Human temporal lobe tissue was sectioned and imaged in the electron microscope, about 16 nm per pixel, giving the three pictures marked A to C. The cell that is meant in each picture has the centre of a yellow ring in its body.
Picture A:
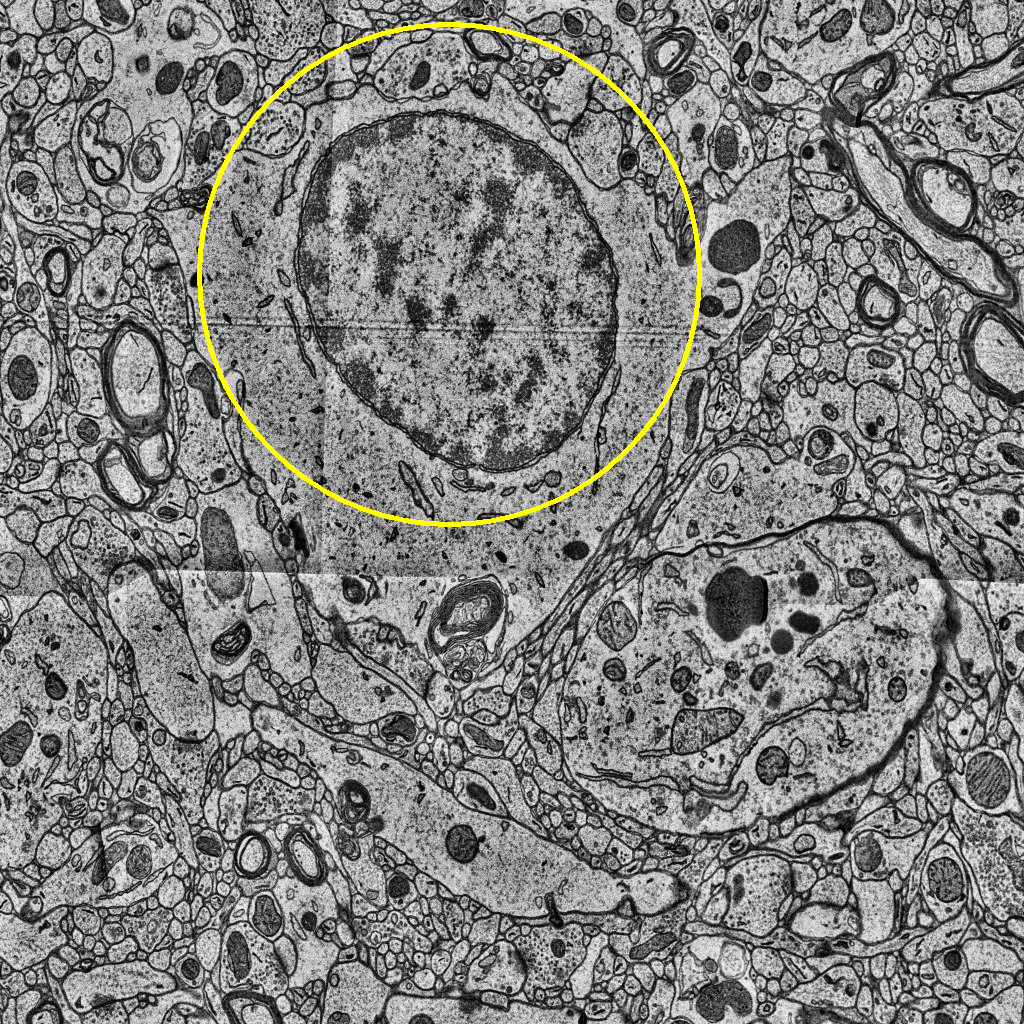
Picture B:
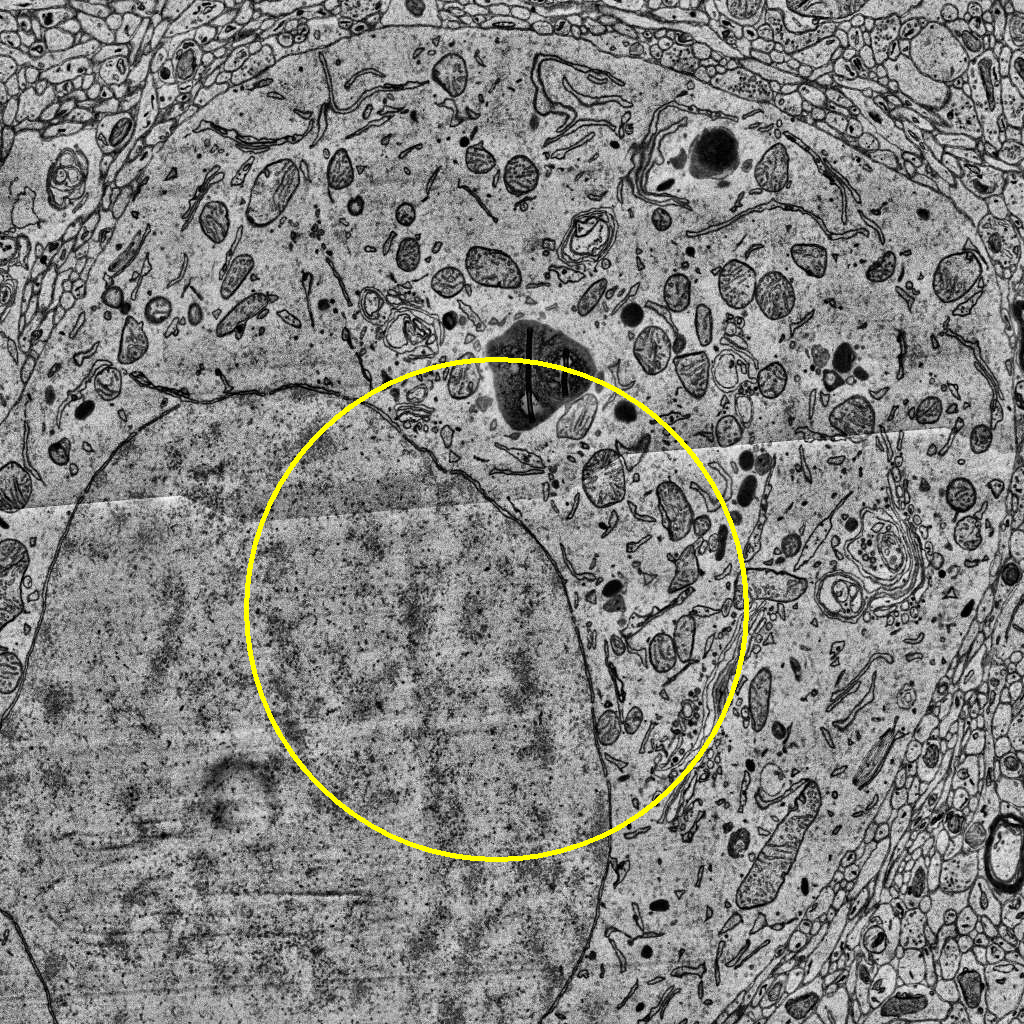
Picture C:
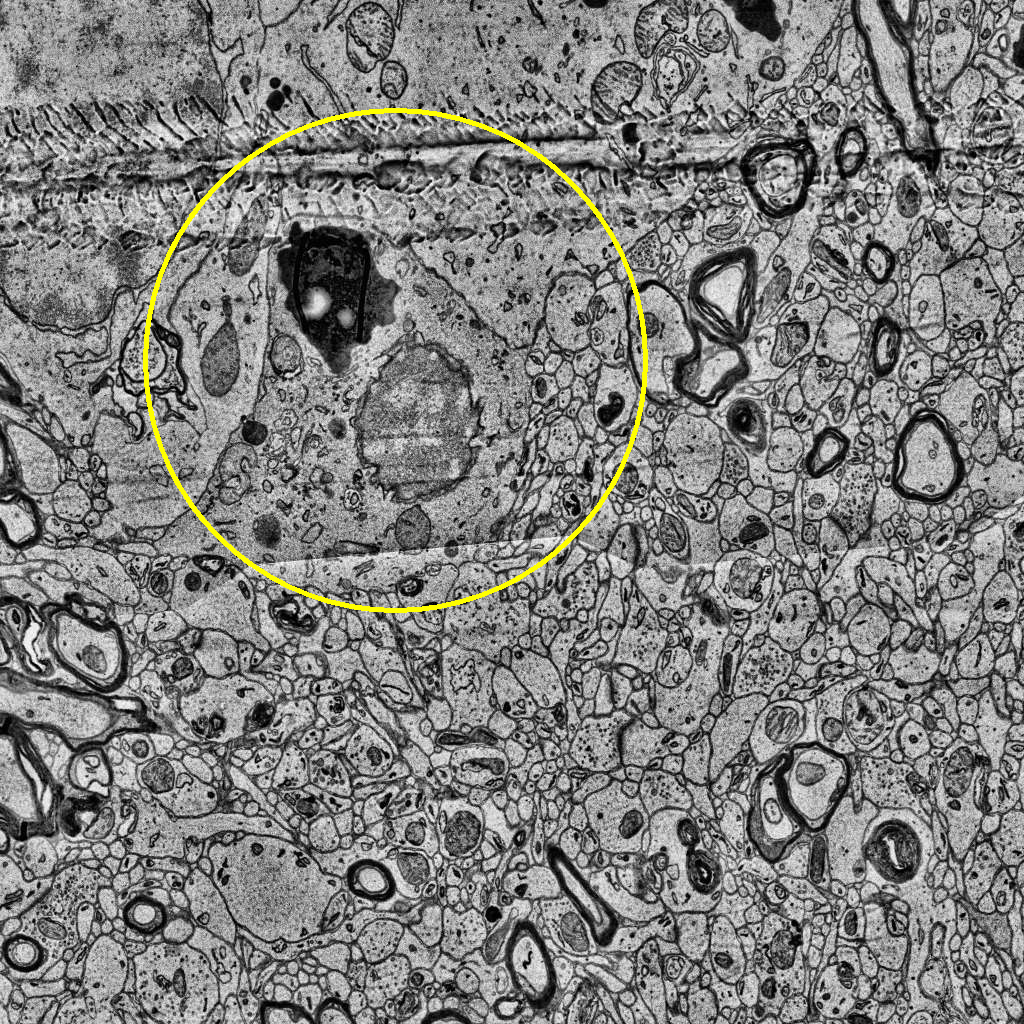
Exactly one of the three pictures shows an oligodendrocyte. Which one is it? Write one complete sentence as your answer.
The oligodendrocyte is the one in picture C.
